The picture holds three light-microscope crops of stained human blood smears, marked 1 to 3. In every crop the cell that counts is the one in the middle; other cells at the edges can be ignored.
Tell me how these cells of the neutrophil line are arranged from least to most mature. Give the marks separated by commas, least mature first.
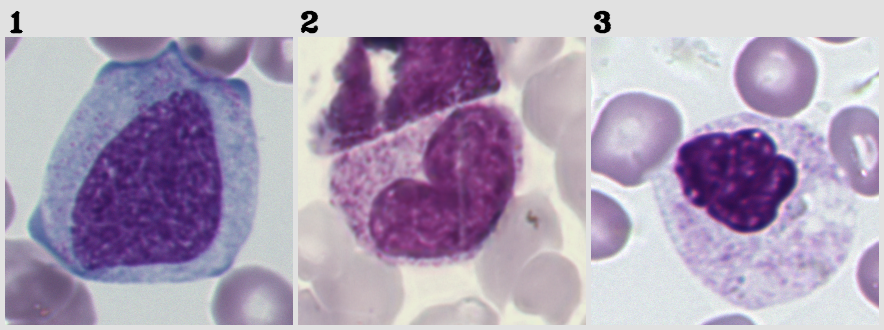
1, 2, 3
